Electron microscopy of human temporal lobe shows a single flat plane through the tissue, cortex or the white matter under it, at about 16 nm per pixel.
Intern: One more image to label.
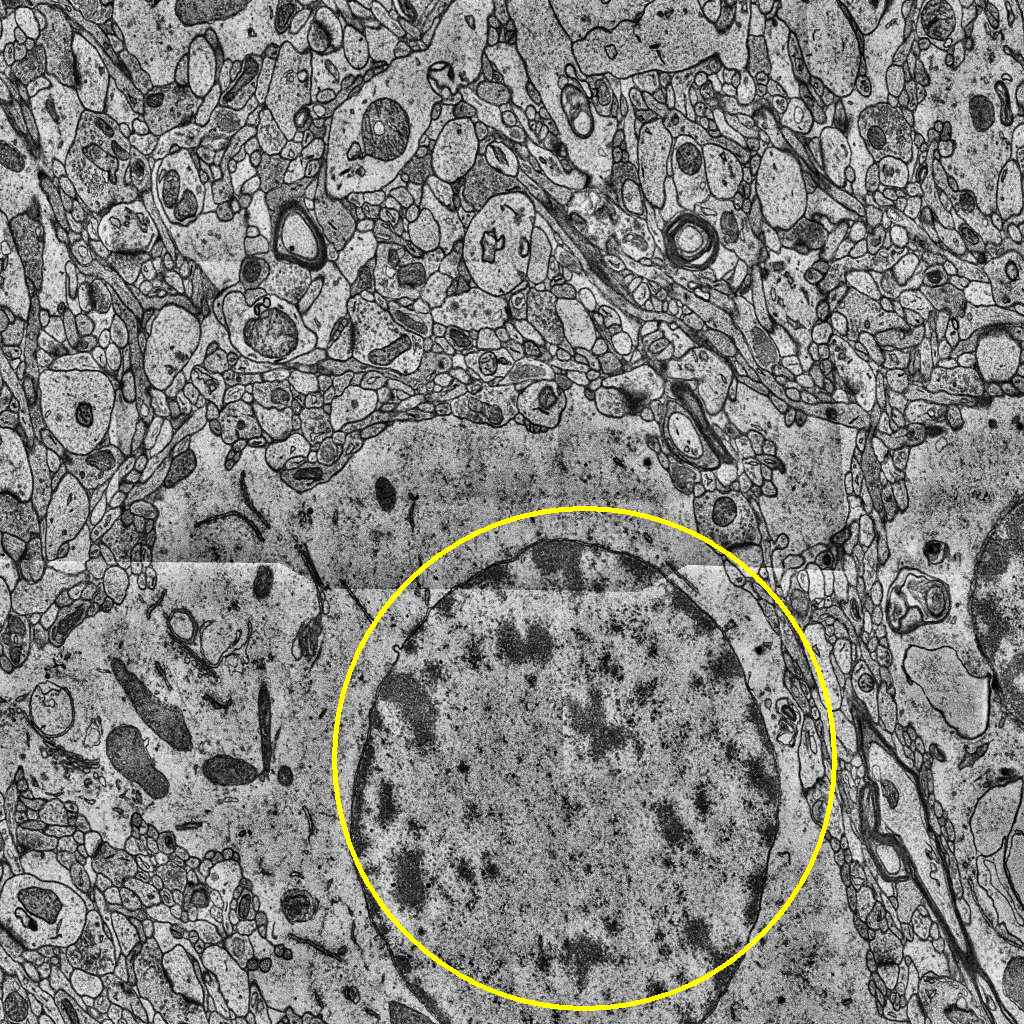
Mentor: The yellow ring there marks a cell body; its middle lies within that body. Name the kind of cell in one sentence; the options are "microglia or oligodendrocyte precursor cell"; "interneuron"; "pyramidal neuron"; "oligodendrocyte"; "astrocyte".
The ring marks the cell body of an astrocyte.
